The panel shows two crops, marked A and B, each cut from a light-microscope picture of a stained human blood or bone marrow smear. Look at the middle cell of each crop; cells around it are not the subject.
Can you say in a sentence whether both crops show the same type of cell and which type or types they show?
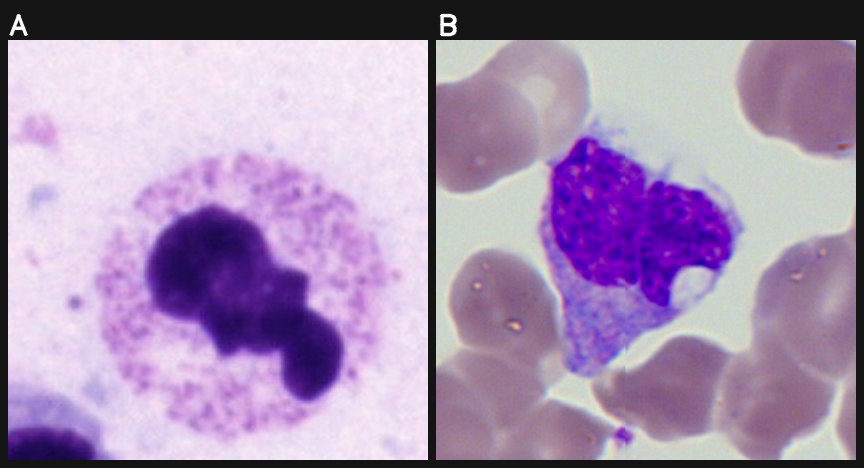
No; crop A is a segmented neutrophil, while crop B is a monocyte.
